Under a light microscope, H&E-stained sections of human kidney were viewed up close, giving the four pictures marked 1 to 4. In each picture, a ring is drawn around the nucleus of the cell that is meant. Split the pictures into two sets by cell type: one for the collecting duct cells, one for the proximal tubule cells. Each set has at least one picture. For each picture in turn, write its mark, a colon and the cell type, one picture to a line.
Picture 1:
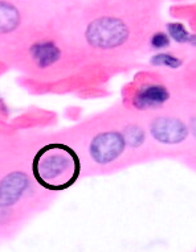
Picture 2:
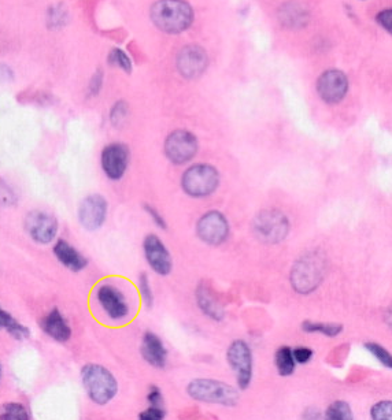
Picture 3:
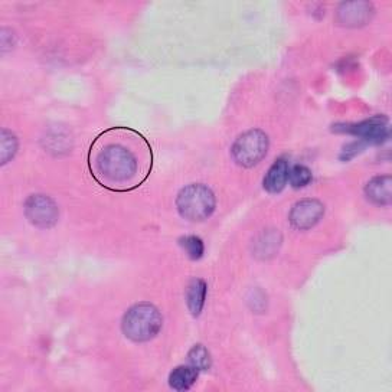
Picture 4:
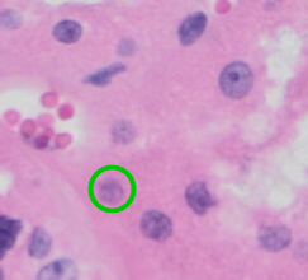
1: collecting duct cell
2: collecting duct cell
3: proximal tubule cell
4: proximal tubule cell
